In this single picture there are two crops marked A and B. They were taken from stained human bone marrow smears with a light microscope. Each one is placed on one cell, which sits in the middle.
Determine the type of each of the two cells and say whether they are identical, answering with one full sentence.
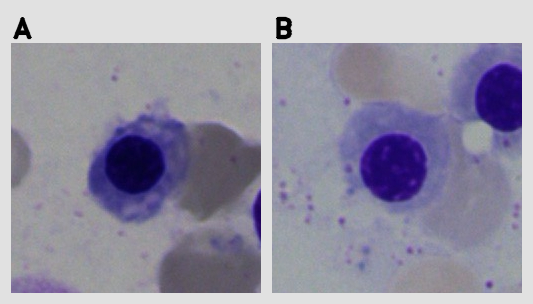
Yes, erythroblasts are the cells shown in both crops.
